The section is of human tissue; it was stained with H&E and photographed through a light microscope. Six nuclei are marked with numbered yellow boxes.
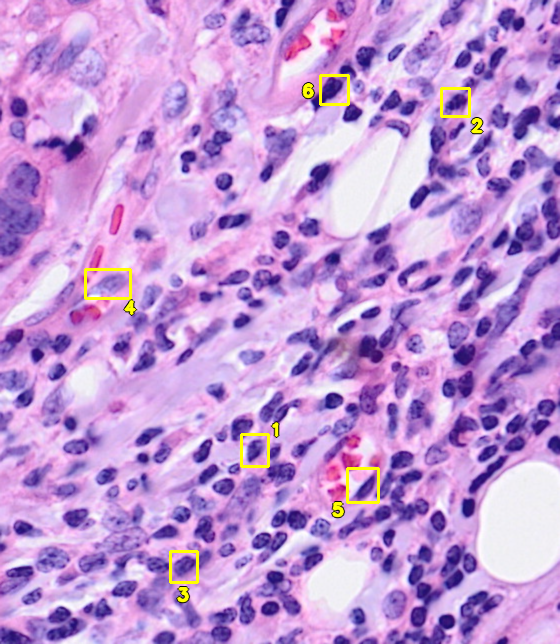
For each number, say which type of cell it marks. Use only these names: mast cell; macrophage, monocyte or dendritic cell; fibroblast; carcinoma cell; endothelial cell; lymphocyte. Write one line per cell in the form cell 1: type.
cell 1: lymphocyte
cell 2: lymphocyte
cell 3: lymphocyte
cell 4: endothelial cell
cell 5: endothelial cell
cell 6: lymphocyte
